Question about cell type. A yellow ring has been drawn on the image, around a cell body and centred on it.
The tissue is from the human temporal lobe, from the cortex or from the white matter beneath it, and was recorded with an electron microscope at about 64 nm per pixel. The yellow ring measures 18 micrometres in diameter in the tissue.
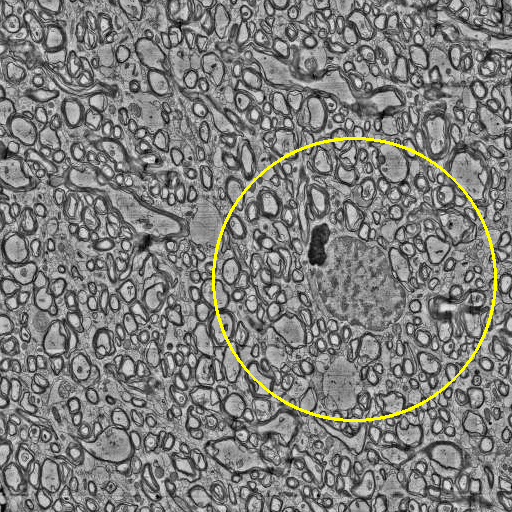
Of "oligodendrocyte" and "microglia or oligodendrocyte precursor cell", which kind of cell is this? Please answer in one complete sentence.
At the centre of the ring lies an oligodendrocyte.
